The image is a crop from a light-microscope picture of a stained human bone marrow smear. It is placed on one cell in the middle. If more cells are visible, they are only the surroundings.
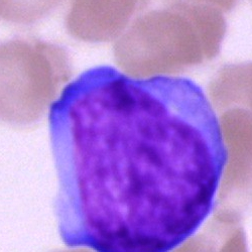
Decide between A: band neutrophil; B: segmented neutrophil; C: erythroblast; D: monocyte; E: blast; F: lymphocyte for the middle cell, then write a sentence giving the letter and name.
The middle cell of the crop is a blast; accordingly, option E is correct.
